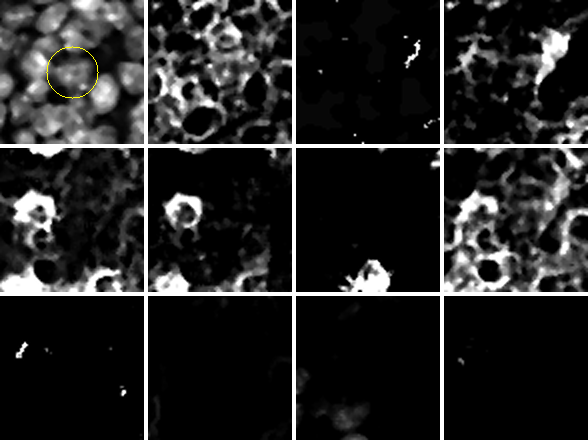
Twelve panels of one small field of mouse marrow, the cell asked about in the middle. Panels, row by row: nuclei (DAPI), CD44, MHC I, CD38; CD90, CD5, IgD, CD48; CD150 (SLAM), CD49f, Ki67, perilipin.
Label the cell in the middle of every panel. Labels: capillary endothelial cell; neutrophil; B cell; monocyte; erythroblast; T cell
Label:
neutrophil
